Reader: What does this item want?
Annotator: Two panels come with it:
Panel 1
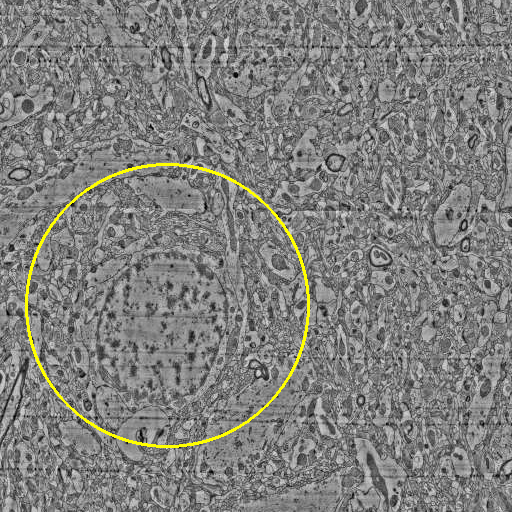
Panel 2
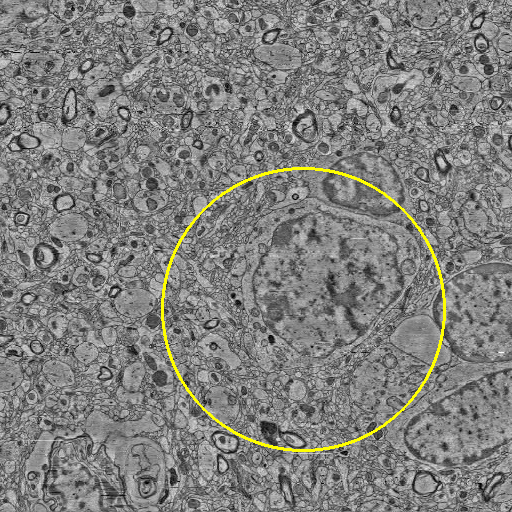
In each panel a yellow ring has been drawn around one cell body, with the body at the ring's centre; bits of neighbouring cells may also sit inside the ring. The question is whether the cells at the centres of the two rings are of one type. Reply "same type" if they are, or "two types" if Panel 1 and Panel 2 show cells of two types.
same type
